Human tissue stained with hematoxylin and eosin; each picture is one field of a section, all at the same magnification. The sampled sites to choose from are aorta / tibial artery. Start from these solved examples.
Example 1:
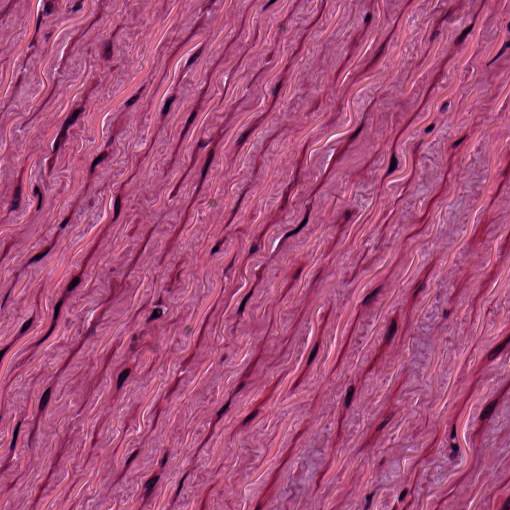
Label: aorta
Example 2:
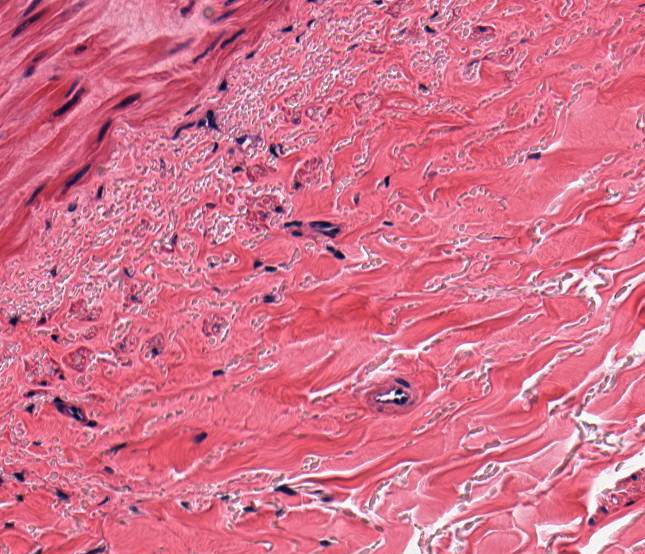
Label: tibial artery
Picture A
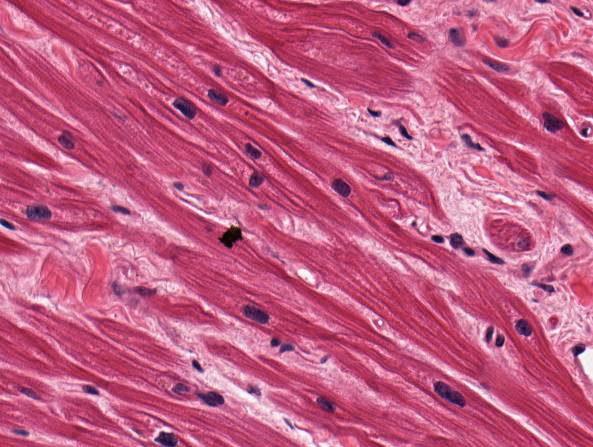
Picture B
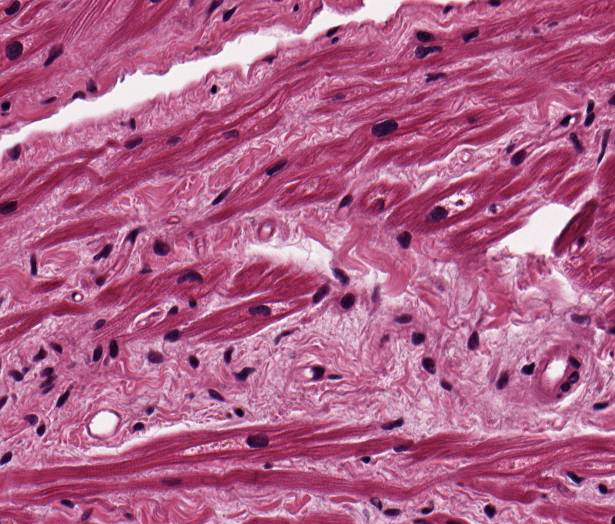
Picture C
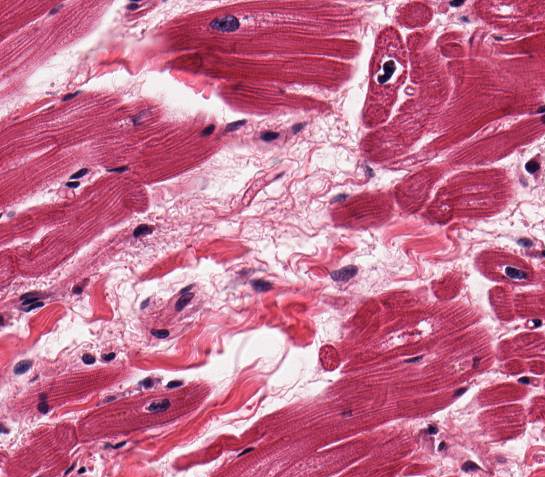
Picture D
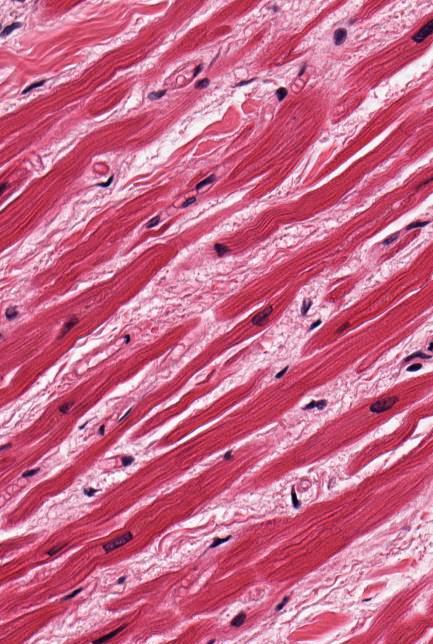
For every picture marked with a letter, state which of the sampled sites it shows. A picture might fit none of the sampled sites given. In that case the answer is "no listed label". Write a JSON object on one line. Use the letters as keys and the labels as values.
{"A": "no listed label", "B": "no listed label", "C": "no listed label", "D": "no listed label"}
